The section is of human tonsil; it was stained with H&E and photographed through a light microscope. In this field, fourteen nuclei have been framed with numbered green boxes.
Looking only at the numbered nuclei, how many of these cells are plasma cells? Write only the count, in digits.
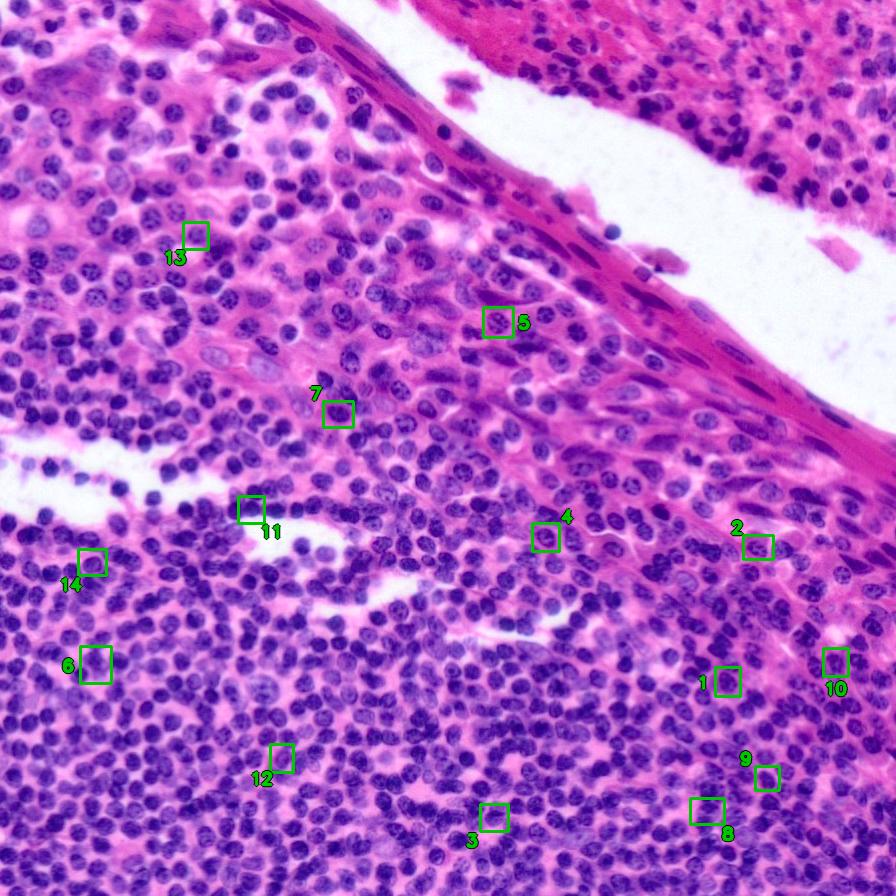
7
